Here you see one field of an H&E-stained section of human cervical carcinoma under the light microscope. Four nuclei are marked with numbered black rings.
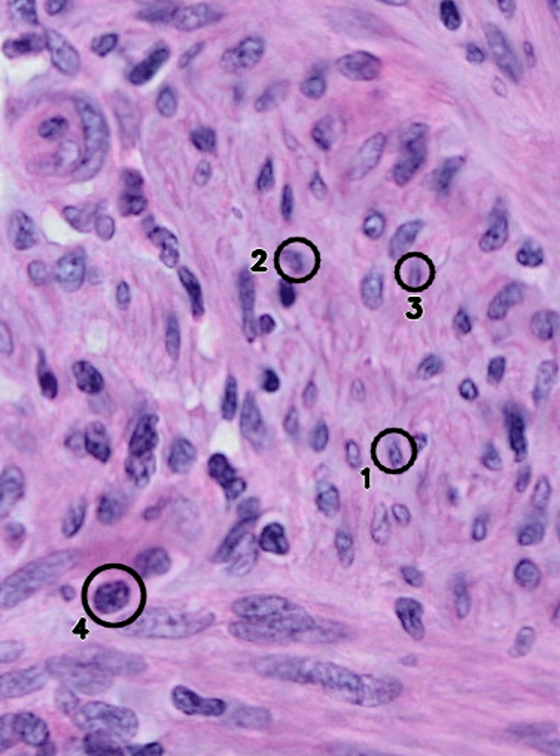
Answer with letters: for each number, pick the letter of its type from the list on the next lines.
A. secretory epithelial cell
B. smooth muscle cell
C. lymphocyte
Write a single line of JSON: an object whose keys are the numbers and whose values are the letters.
{"1": "B", "2": "B", "3": "B", "4": "C"}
